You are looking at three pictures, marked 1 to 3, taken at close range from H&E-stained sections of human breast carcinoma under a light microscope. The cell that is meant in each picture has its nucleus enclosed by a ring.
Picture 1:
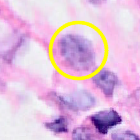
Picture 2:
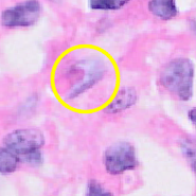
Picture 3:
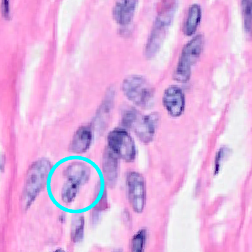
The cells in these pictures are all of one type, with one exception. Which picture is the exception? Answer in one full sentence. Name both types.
Picture 1 differs, because its cell is a carcinoma cell and the rest are endothelial cells.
